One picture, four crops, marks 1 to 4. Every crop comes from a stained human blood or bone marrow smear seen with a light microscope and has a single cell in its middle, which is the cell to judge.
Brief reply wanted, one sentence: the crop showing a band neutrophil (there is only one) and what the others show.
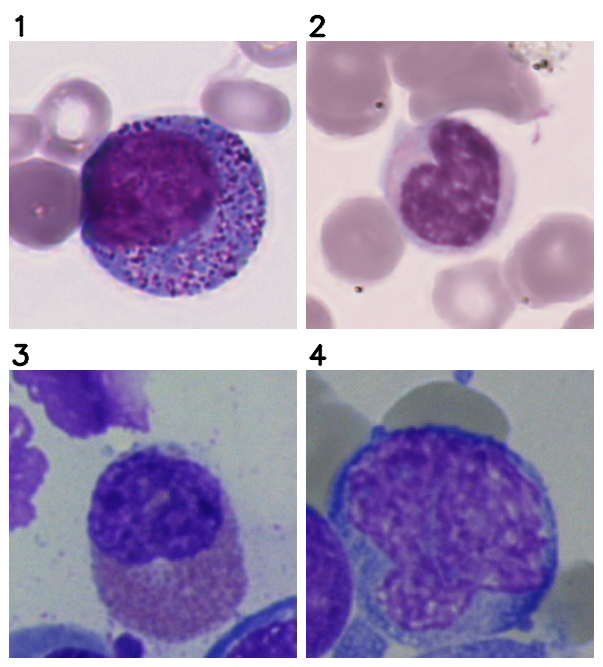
Crop 2 holds a band neutrophil at its centre, while crop 1 is a promyelocyte, crop 3 is an eosinophil and crop 4 is a blast.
